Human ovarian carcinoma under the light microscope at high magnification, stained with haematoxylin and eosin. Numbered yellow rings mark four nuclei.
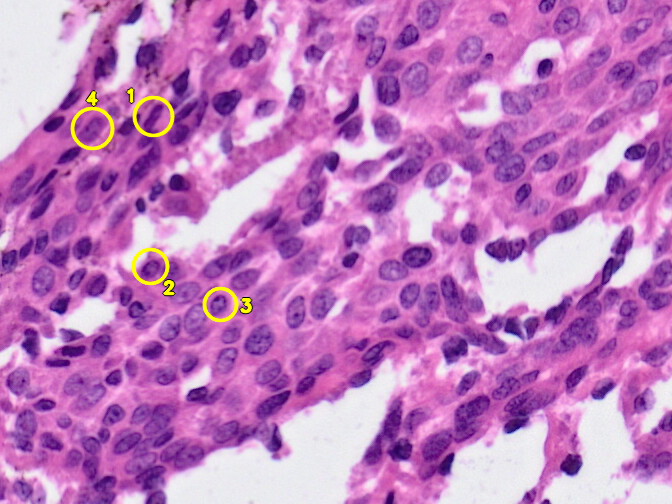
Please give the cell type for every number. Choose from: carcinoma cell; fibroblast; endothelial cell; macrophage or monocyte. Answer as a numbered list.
1. carcinoma cell
2. carcinoma cell
3. macrophage or monocyte
4. carcinoma cell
